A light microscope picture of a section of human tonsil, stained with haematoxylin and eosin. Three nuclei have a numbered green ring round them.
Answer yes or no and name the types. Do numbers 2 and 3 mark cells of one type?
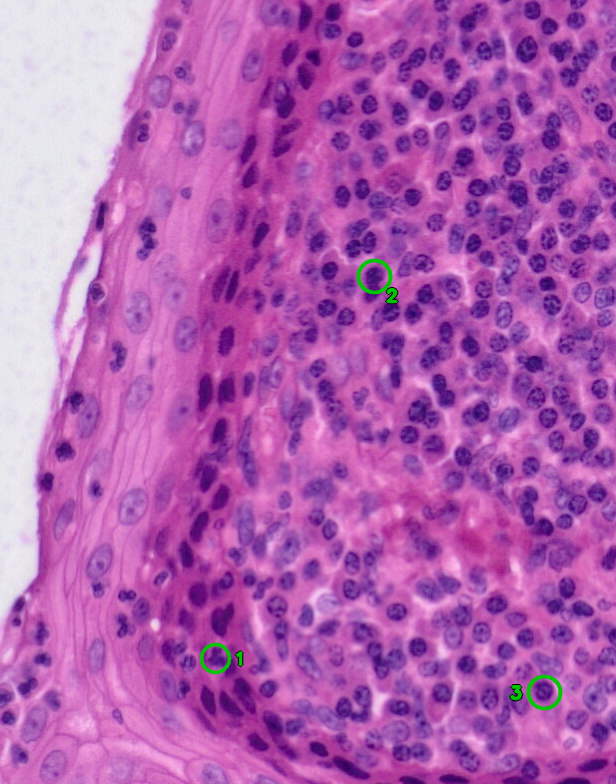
Yes, cells 2 and 3 are plasma cells, both of them.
